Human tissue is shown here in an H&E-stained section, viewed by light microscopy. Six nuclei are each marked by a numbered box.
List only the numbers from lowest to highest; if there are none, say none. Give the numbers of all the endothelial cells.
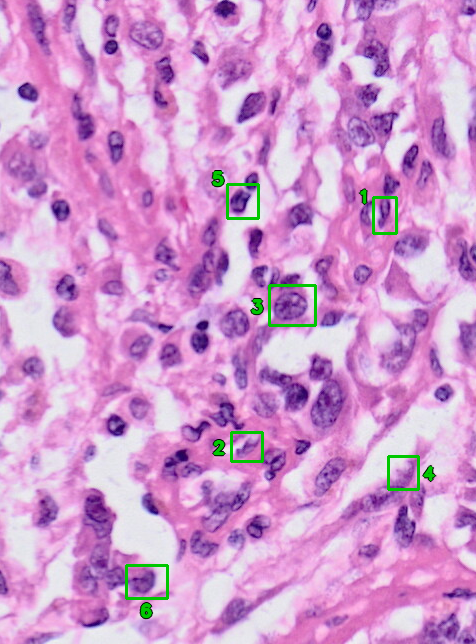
1, 2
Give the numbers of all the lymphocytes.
5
